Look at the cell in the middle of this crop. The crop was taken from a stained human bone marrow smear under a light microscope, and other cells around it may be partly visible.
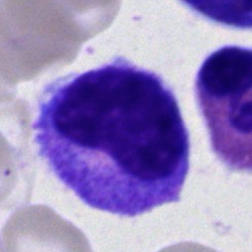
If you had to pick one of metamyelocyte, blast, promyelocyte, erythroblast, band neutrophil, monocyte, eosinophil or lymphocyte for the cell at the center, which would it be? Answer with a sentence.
The cell centered in this field of view is a promyelocyte.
